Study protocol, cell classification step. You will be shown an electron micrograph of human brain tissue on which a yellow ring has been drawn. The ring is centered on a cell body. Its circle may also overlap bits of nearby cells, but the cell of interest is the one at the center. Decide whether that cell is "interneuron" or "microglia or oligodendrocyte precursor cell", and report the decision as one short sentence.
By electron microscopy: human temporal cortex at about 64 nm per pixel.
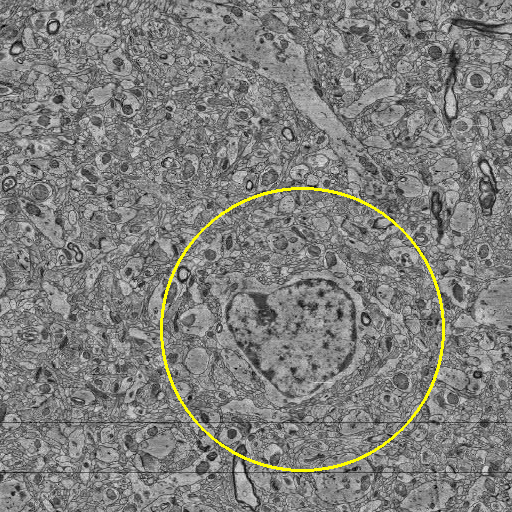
The marked cell is a microglial cell or oligodendrocyte precursor cell.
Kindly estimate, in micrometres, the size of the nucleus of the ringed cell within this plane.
In this plane, the nucleus measures approximately 8 micrometres across.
